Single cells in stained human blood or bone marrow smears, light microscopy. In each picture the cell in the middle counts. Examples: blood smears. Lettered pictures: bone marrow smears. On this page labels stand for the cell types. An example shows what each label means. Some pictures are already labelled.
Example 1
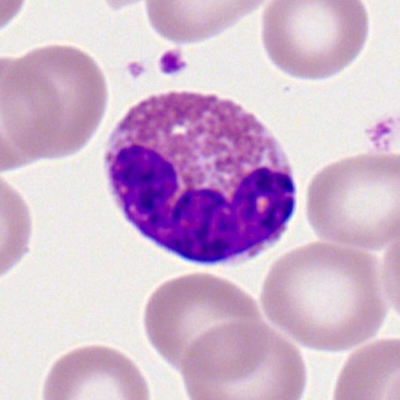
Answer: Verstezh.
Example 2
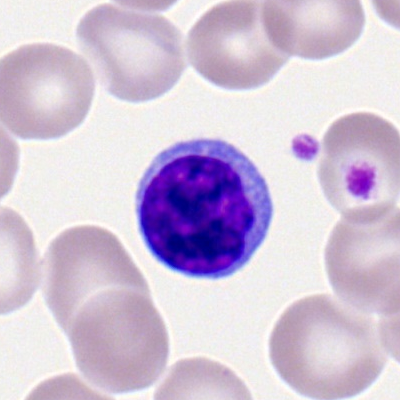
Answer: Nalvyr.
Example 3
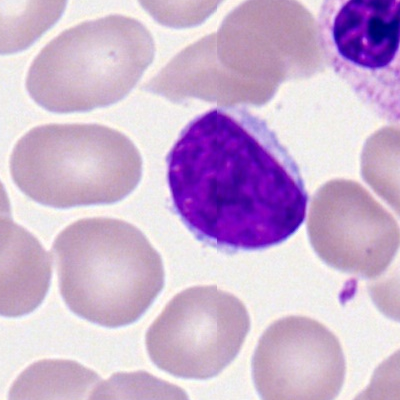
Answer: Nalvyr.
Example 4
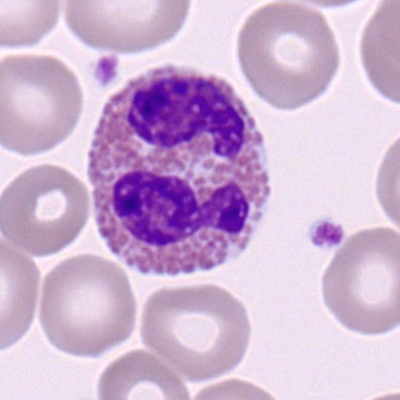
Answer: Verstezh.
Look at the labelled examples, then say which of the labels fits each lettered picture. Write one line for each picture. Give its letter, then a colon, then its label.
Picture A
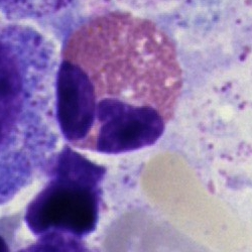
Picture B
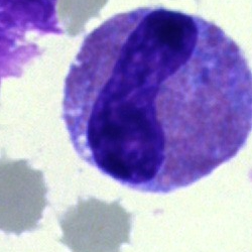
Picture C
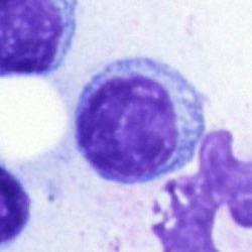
A: Verstezh.
B: Verstezh.
C: Nalvyr.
